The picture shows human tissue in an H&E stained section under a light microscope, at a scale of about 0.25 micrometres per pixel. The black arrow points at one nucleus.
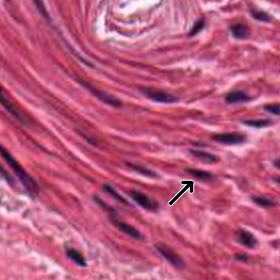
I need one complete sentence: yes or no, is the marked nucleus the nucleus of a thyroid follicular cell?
No, the nucleus that is marked is not part of a thyroid follicular cell.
